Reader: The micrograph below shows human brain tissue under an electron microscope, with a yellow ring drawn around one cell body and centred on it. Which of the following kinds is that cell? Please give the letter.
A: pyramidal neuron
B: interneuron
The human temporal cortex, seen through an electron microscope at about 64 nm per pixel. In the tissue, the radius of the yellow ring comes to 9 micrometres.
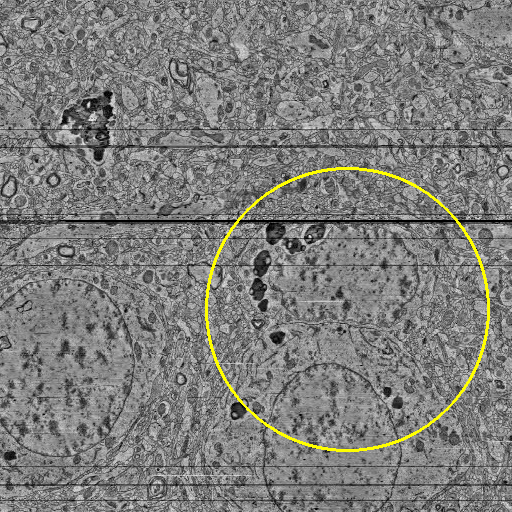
B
